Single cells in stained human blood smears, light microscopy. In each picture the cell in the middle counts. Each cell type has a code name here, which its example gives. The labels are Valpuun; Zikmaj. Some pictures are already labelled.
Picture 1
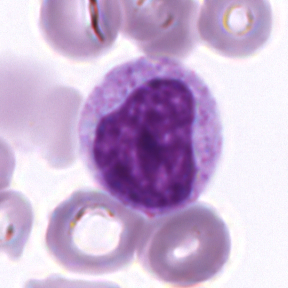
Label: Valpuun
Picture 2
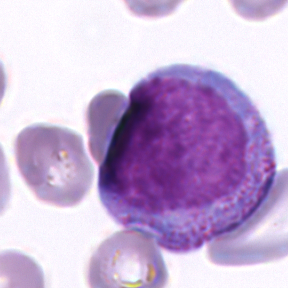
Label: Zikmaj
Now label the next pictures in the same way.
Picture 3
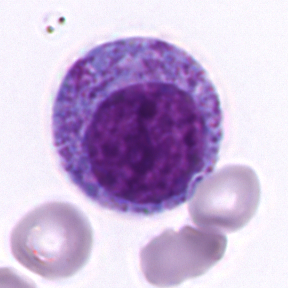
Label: Zikmaj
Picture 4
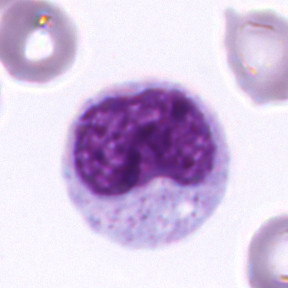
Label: Valpuun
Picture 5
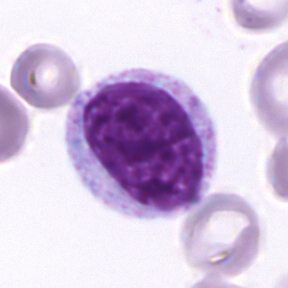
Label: Valpuun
